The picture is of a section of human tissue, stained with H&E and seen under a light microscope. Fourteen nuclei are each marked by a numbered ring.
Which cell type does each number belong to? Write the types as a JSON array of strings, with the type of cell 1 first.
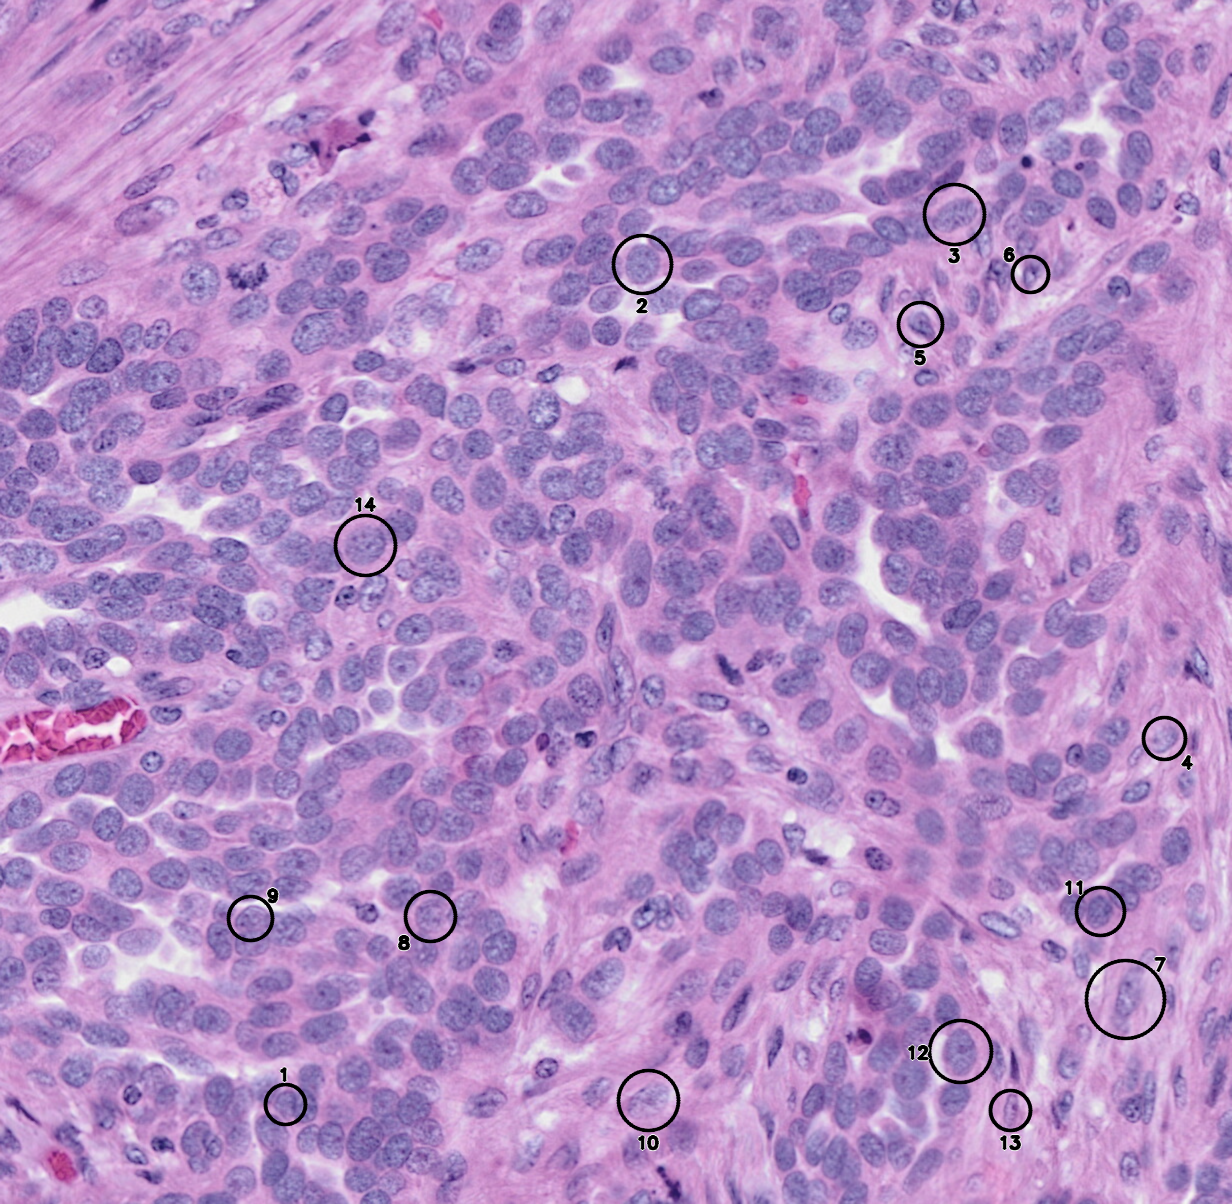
["carcinoma cell", "carcinoma cell", "carcinoma cell", "fibroblast", "fibroblast", "fibroblast", "fibroblast", "carcinoma cell", "carcinoma cell", "fibroblast", "carcinoma cell", "carcinoma cell", "fibroblast", "carcinoma cell"]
